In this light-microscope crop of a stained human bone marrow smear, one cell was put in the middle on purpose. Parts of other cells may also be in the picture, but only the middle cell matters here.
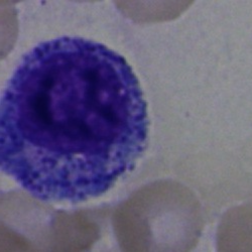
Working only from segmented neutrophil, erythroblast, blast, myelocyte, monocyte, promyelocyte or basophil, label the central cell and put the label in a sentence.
Classified as a promyelocyte is the cell in the middle of this crop.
